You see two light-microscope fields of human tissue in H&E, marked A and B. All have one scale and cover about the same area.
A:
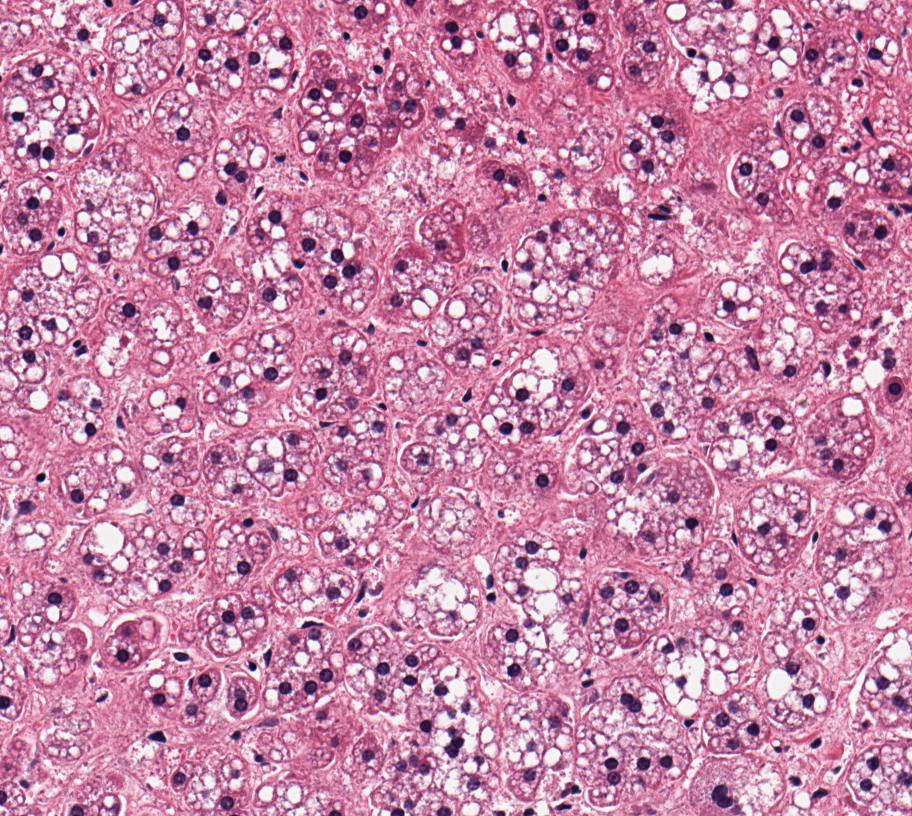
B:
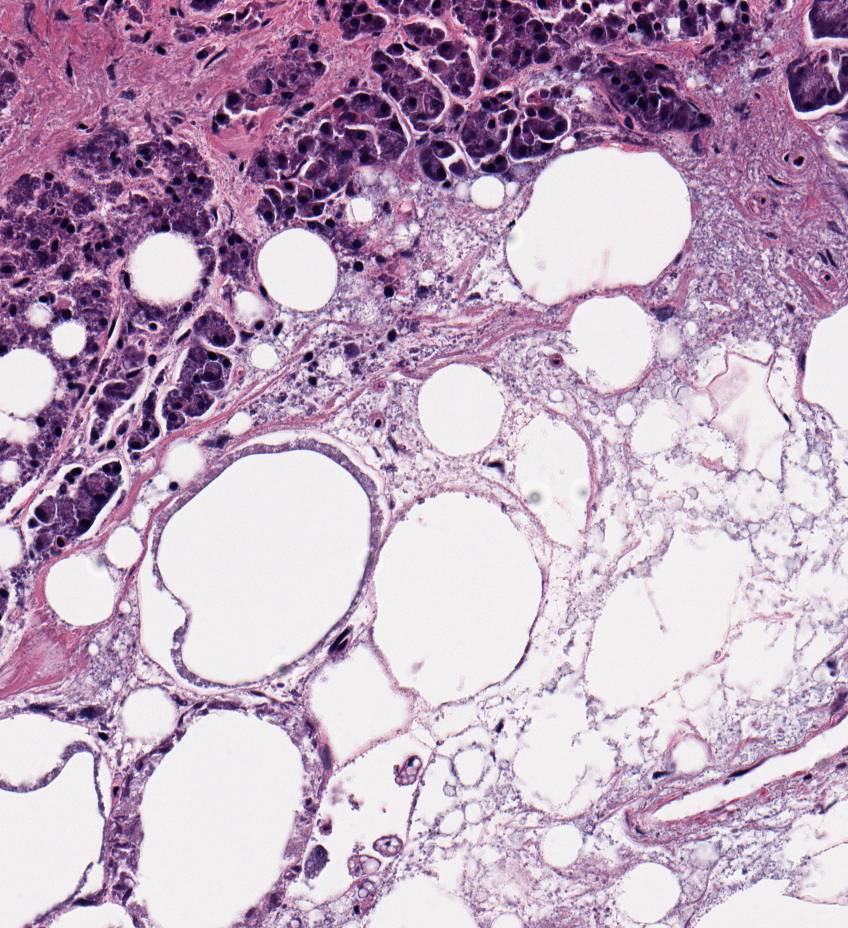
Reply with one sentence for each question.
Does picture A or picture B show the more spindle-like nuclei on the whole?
On the whole the nuclei of picture B are more drawn out than those of picture A.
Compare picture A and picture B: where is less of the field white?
It is picture A that stained tissue fills more completely.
